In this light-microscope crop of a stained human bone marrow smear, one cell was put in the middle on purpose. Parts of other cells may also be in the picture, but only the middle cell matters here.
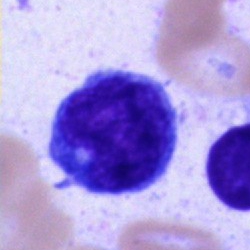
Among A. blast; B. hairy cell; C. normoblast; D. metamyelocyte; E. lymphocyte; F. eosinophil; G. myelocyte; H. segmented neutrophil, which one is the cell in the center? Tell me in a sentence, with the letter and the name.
The cell occupying the centre is a blast; option A is thus the correct choice.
